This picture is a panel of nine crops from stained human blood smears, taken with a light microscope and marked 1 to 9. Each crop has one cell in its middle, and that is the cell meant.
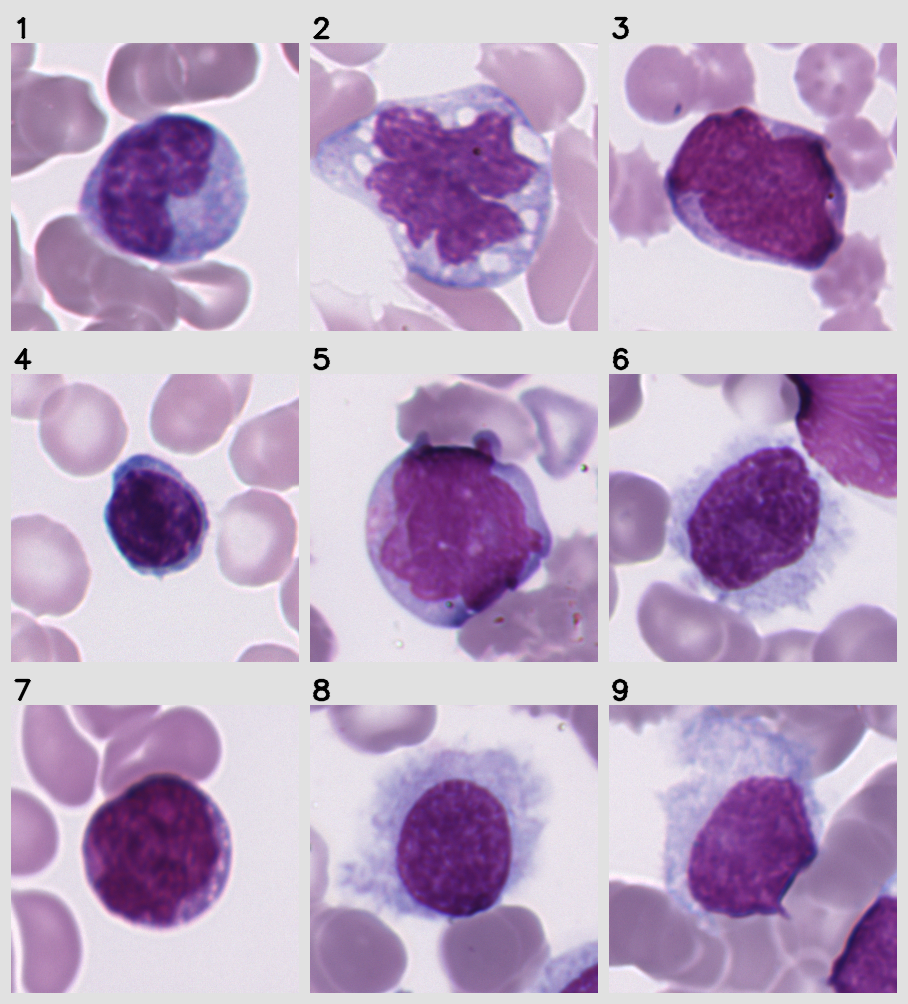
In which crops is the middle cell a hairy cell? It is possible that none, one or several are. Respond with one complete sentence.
The crops marked 6, 8 and 9 contain hairy cells at the centre.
